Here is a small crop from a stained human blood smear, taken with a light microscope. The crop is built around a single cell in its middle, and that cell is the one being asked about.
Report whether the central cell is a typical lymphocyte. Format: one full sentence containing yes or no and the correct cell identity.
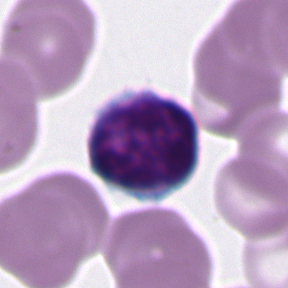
Yes, the crop's central cell is a typical lymphocyte.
